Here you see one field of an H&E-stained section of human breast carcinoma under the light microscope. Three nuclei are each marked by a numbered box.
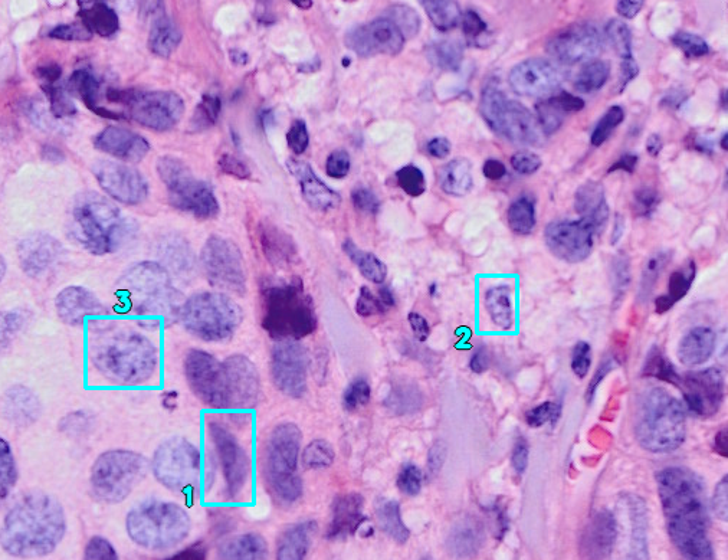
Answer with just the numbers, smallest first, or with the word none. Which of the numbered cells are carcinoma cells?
1, 3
